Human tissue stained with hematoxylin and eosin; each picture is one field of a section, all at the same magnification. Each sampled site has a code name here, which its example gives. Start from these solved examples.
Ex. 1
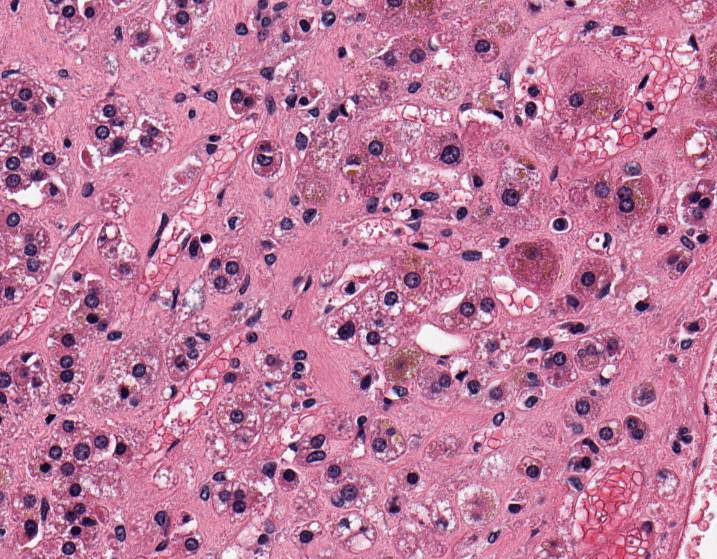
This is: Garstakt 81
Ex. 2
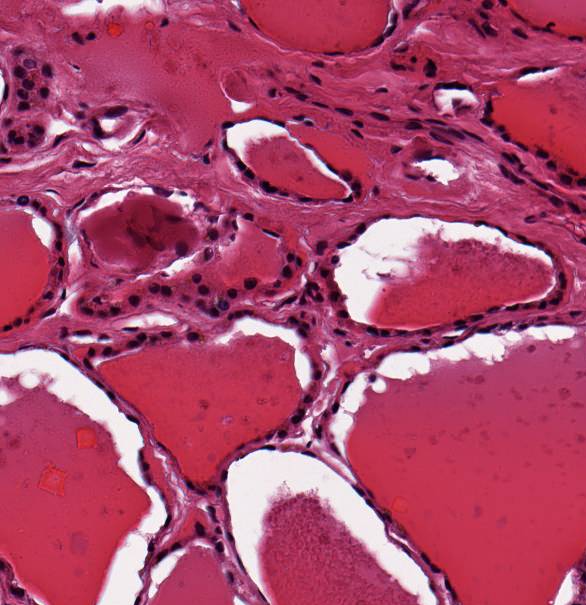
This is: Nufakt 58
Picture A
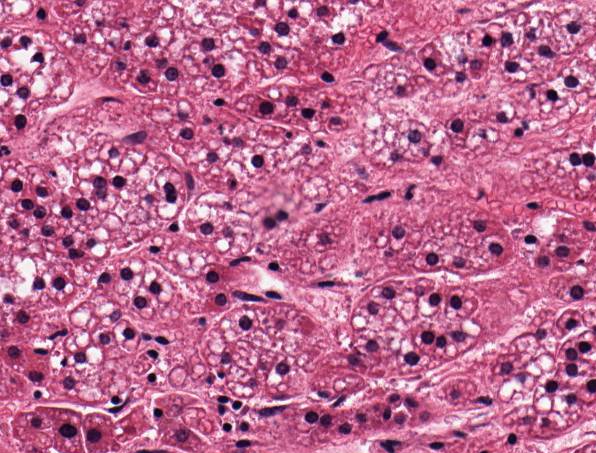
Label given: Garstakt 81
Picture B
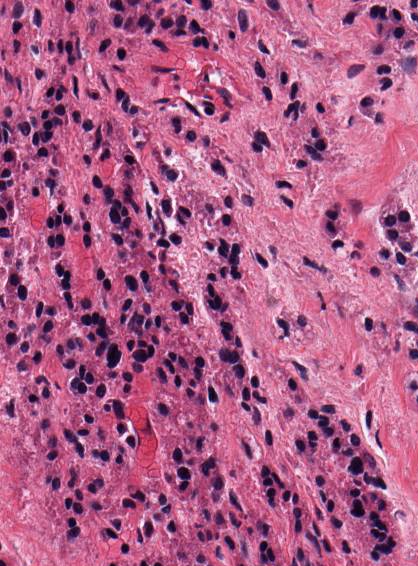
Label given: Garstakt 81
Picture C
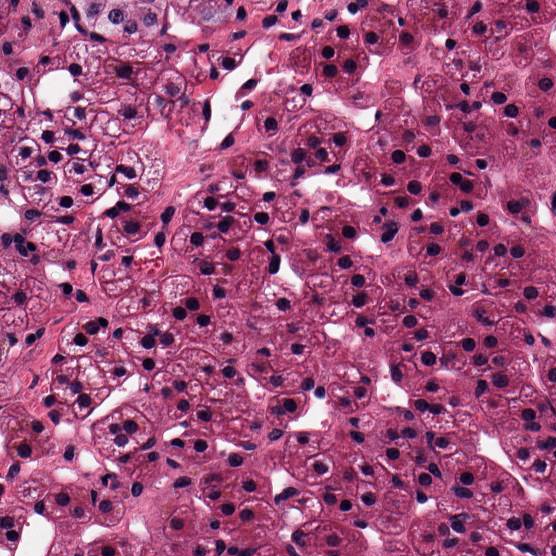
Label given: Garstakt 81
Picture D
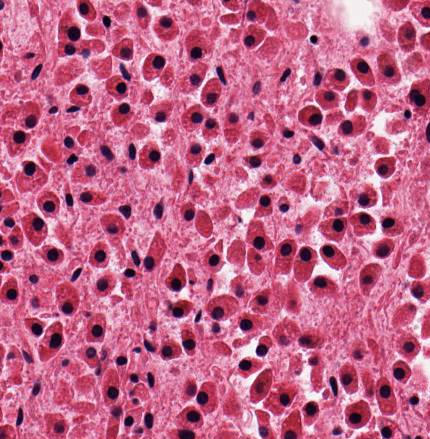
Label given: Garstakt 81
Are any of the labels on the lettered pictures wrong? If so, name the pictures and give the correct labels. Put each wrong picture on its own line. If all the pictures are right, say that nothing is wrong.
No label is wrong.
